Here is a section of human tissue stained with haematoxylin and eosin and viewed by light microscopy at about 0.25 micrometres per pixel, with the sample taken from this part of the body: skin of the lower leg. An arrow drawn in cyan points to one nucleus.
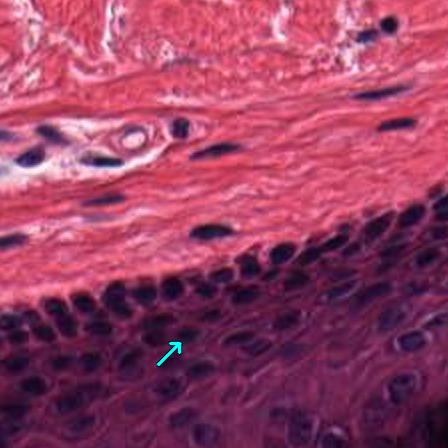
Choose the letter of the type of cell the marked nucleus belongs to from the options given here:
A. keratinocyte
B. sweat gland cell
A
